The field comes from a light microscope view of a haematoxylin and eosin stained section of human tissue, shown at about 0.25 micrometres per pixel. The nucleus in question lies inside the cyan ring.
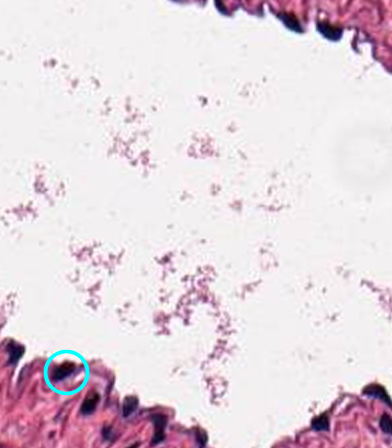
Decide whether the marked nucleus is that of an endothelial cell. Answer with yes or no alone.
yes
